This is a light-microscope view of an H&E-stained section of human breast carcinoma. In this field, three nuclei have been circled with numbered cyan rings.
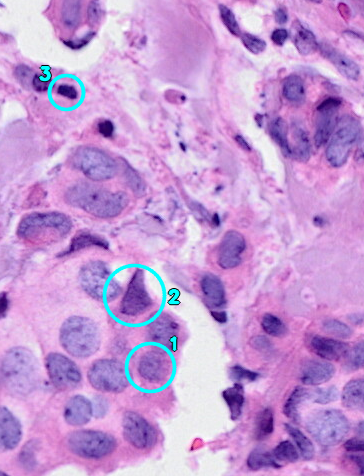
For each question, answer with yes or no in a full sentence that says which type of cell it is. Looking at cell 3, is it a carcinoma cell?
No, sorry, the cell labelled 3 is not a carcinoma cell; it is a lymphocyte.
